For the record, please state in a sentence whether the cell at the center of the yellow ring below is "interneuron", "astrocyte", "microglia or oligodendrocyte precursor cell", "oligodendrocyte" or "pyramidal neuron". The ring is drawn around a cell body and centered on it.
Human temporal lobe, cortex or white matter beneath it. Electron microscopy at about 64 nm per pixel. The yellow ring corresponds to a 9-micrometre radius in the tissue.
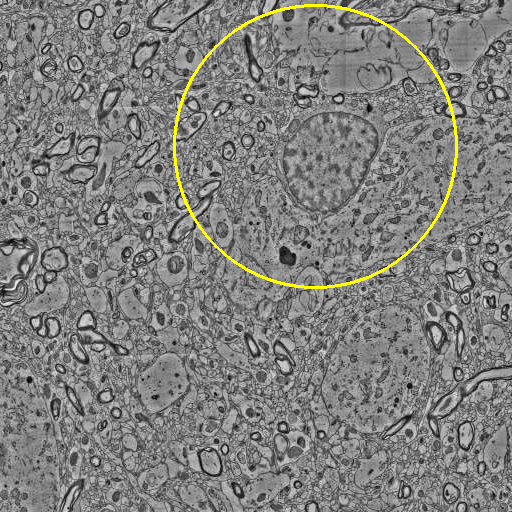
The cell at the ring's center is an oligodendrocyte.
